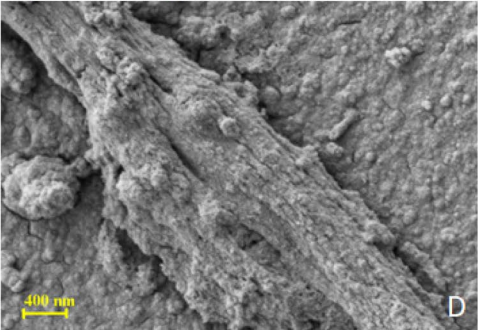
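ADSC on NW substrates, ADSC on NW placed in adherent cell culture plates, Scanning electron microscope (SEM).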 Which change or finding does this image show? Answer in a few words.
Ruffled membranes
